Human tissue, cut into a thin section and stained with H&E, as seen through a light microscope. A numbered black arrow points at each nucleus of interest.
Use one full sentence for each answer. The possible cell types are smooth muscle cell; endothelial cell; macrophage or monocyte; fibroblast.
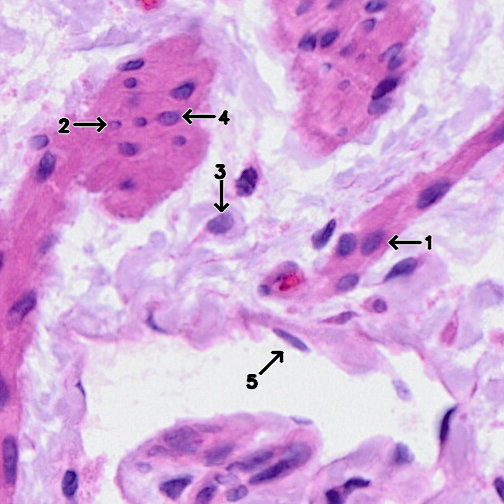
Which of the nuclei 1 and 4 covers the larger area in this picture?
Of the two, number 1 is bigger and takes up about 2 times the area of number 4.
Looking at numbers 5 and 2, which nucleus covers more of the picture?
The larger nucleus is 5, at roughly 4 times the area of 2.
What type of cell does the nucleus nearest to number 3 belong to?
It is a macrophage or monocyte whose nucleus is nearest to number 3.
